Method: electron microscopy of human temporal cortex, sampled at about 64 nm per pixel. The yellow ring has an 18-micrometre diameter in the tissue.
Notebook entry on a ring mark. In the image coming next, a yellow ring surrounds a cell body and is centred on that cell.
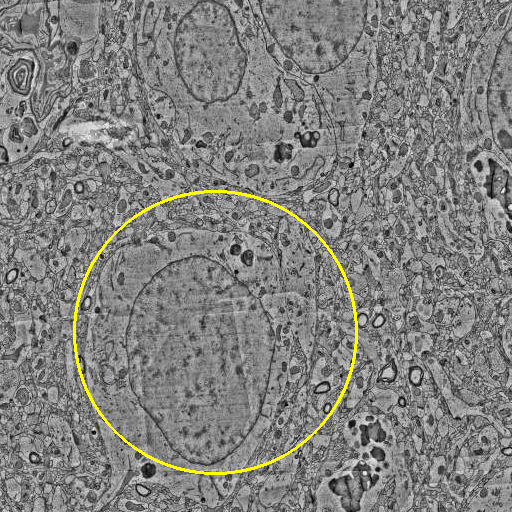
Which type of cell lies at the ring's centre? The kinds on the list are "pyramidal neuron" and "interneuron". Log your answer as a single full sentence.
Centred in the yellow ring is a pyramidal neuron, the cell recorded for this image.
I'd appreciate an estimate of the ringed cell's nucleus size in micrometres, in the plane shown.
In this plane, about 13 micrometres in length and 10 in width.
